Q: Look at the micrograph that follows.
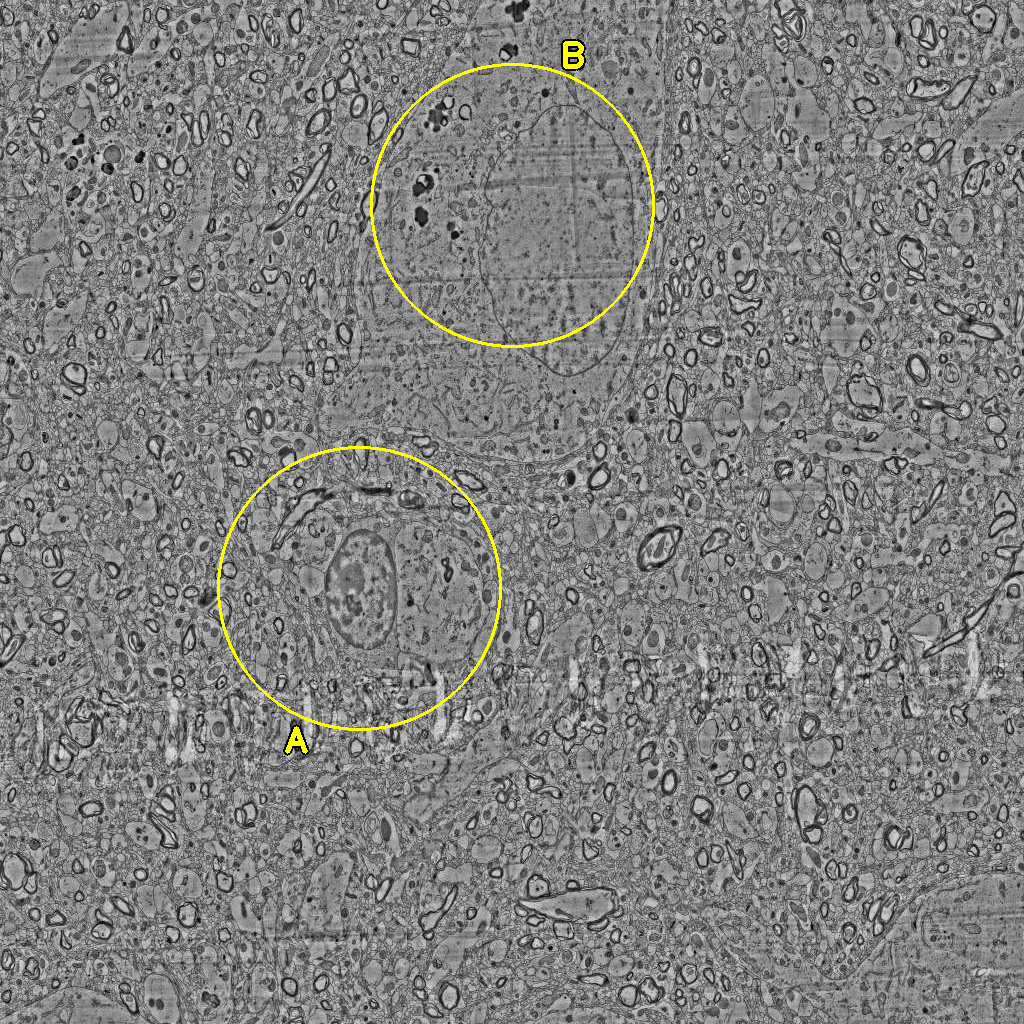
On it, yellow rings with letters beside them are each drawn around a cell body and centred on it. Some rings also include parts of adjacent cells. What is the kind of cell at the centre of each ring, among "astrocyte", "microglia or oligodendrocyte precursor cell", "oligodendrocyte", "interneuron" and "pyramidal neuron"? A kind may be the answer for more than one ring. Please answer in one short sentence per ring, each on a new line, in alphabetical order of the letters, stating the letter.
Ring A surrounds the cell body of an oligodendrocyte.
Ring B surrounds the cell body of a pyramidal neuron.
